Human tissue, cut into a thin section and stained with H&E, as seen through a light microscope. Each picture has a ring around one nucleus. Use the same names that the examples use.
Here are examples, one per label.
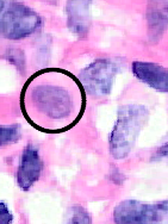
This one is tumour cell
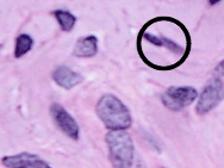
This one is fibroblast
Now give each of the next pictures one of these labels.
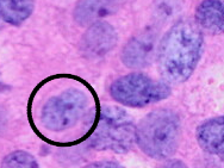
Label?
tumour cell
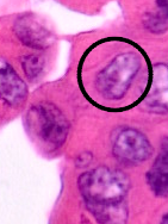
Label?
tumour cell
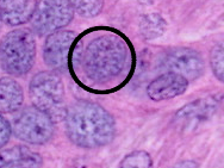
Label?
tumour cell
